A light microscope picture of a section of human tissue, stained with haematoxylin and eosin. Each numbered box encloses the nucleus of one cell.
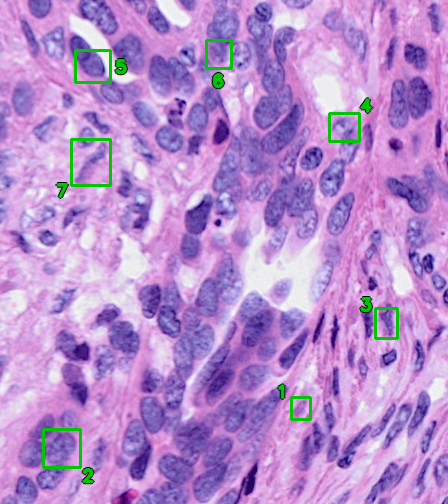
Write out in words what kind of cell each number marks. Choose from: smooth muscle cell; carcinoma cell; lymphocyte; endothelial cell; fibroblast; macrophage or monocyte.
Cell 1 is a fibroblast, cell 2 is a carcinoma cell, cell 3 is a fibroblast, cell 4 is a fibroblast, cell 5 is a carcinoma cell, cell 6 is a carcinoma cell and cell 7 is a fibroblast.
